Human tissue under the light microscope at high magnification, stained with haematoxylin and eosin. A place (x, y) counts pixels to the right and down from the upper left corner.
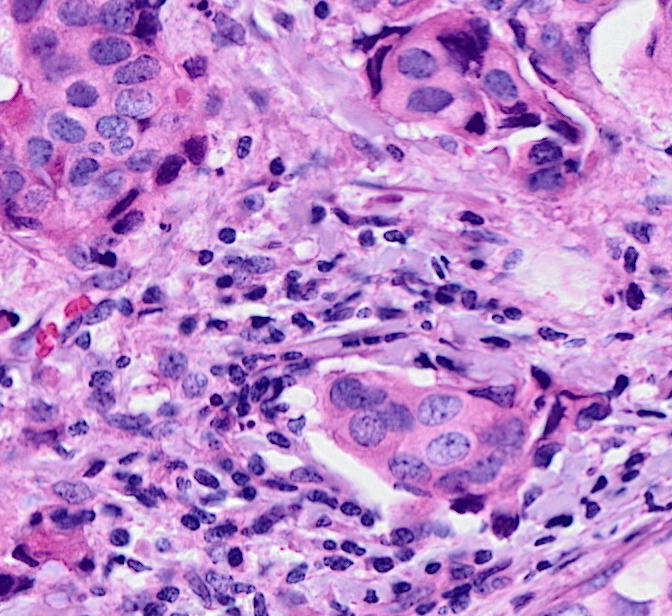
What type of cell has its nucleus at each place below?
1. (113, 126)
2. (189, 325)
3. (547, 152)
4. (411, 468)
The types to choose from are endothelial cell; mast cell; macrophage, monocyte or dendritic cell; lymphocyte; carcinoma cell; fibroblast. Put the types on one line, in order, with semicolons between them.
carcinoma cell; lymphocyte; carcinoma cell; carcinoma cell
